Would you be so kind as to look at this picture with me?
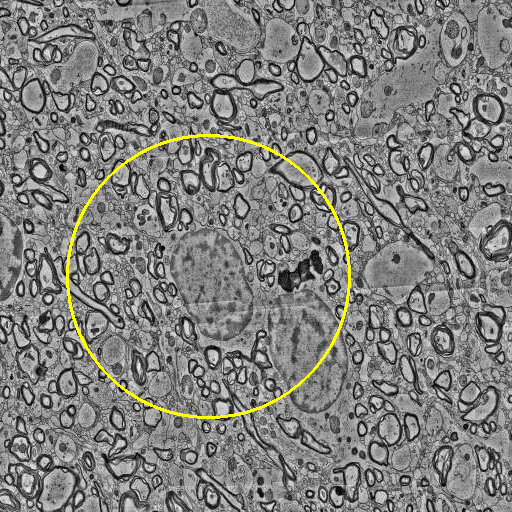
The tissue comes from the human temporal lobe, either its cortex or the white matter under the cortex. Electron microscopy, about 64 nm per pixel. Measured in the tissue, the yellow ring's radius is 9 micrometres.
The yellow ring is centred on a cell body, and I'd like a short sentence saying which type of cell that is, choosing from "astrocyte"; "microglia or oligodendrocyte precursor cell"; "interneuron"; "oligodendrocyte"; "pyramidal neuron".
The cell body in the ring belongs to an oligodendrocyte.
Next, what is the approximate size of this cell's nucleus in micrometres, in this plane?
The nucleus comes to roughly 7 by 5 micrometres in this plane.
